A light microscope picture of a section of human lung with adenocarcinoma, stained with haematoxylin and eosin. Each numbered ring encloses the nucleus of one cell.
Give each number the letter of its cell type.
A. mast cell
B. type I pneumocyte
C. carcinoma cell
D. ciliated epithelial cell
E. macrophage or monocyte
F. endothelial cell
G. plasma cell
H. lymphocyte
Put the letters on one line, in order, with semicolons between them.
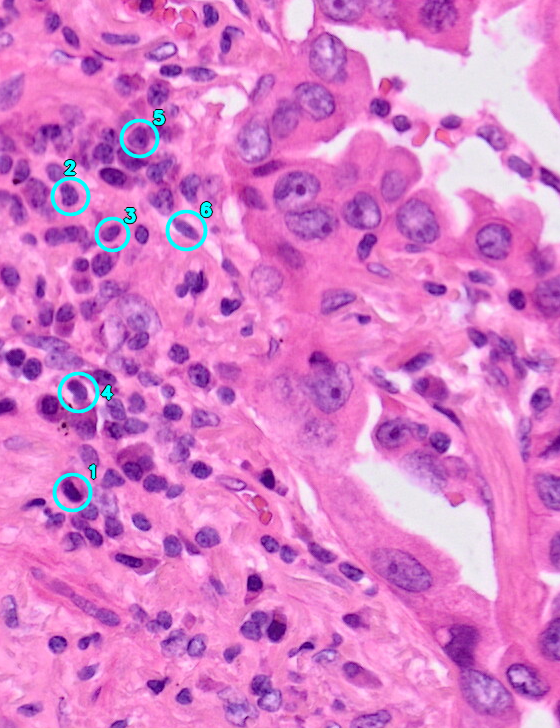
G; H; H; G; H; H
